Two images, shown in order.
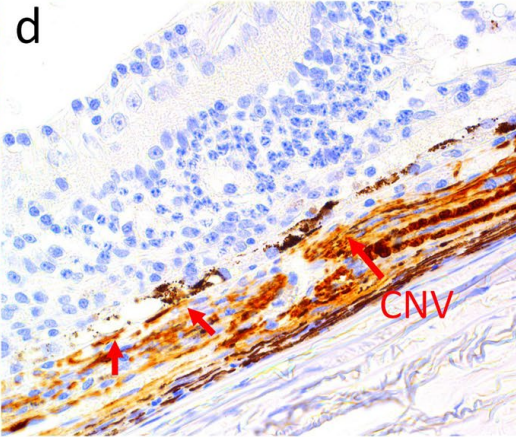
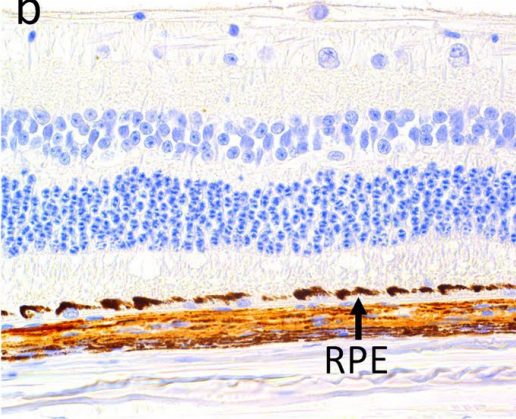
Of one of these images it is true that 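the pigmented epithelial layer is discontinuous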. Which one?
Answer: The first image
